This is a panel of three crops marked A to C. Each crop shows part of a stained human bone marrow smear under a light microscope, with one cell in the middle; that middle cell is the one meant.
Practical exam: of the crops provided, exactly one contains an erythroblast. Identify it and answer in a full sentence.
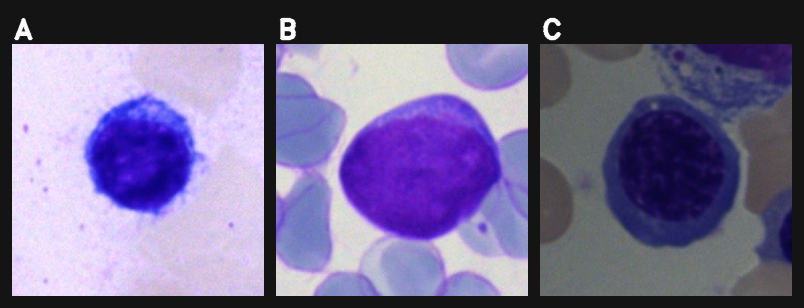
The one crop that shows an erythroblast is crop C.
